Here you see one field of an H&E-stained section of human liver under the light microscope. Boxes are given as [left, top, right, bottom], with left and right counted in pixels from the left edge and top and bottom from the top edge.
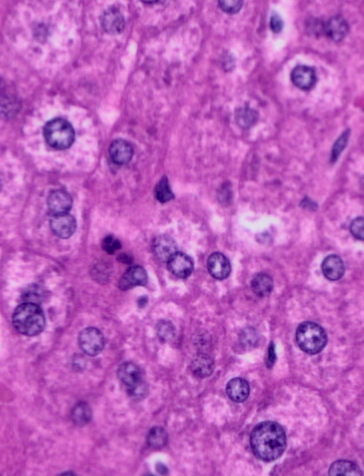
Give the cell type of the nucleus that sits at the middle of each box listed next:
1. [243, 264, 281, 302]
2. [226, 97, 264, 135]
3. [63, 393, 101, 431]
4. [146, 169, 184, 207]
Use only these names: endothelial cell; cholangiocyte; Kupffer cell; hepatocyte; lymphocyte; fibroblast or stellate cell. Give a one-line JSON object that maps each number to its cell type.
{"1": "hepatocyte", "2": "hepatocyte", "3": "hepatocyte", "4": "endothelial cell"}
